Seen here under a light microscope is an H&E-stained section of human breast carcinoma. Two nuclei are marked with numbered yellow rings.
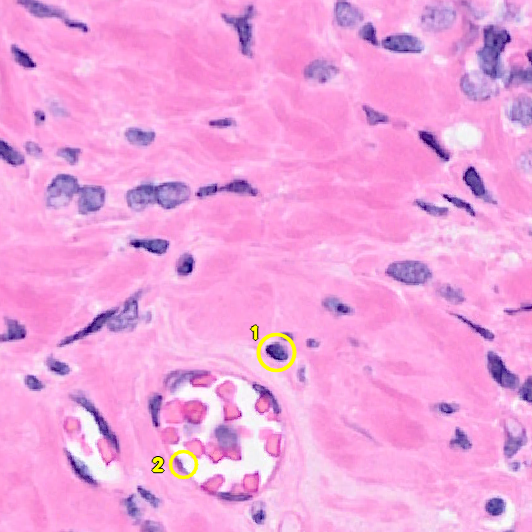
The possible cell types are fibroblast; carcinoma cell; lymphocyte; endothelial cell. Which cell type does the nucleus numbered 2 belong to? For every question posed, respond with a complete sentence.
Among the marked nuclei, number 2 belongs to an endothelial cell.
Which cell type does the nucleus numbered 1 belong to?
The marked cell with the number 1 is recognised as a lymphocyte.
